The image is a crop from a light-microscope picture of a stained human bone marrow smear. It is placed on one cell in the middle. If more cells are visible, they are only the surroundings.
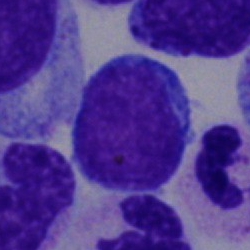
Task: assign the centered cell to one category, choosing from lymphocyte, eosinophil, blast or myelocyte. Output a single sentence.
This crop's central cell is a lymphocyte.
